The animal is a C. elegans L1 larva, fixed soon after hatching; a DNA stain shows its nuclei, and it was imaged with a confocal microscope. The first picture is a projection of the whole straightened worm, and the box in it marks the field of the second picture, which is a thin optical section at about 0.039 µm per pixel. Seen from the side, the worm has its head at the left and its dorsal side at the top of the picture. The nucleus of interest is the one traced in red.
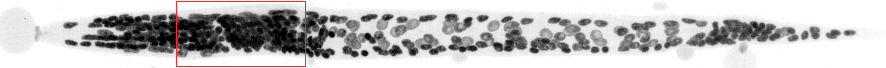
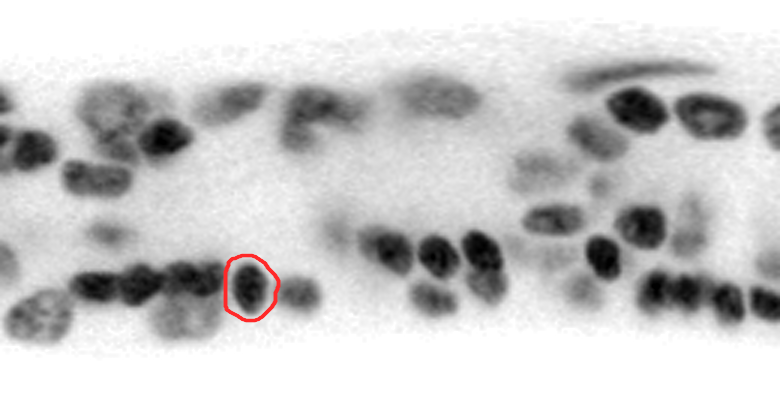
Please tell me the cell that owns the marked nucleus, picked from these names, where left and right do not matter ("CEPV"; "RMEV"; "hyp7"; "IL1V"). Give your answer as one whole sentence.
The marked cell is CEPV, a neuron.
